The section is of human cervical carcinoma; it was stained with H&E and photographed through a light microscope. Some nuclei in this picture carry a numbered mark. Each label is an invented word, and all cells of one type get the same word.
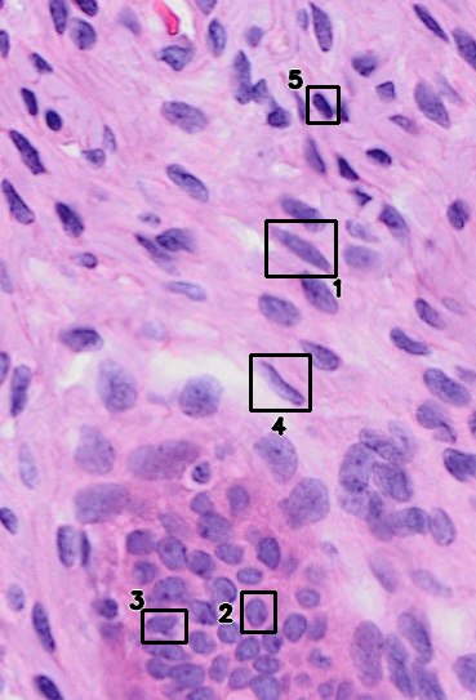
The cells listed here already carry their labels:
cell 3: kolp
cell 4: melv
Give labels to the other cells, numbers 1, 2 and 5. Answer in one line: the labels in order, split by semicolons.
melv; kolp; melv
